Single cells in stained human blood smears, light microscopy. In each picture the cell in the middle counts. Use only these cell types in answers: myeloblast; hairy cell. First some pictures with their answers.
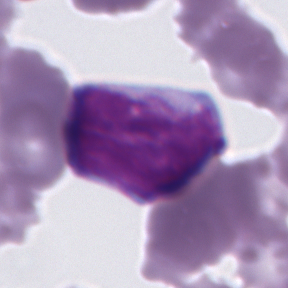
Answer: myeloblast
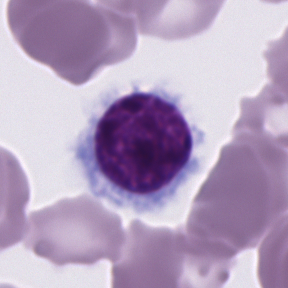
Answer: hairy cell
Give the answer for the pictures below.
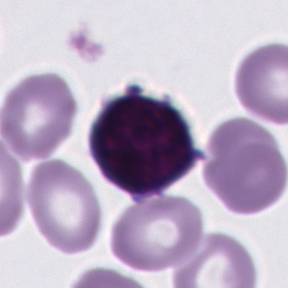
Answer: myeloblast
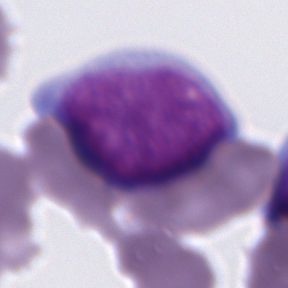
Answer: myeloblast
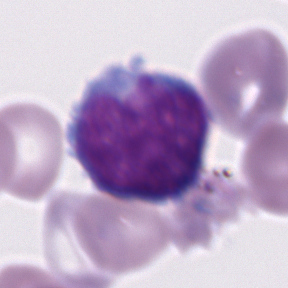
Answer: myeloblast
